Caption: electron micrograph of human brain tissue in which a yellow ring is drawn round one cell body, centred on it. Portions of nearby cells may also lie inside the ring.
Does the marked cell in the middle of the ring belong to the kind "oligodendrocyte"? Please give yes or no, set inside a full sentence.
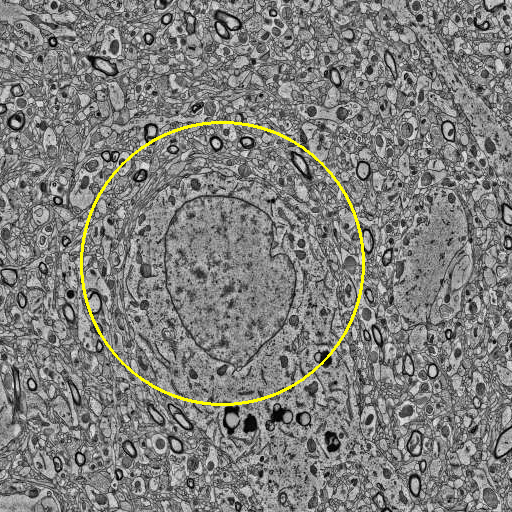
No, the marked cell that the ring is centred on in the picture is of another kind.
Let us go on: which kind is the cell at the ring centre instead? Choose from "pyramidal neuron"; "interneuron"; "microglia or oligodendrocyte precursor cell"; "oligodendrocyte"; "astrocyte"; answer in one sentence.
Instead, the ringed cell here is a pyramidal neuron.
